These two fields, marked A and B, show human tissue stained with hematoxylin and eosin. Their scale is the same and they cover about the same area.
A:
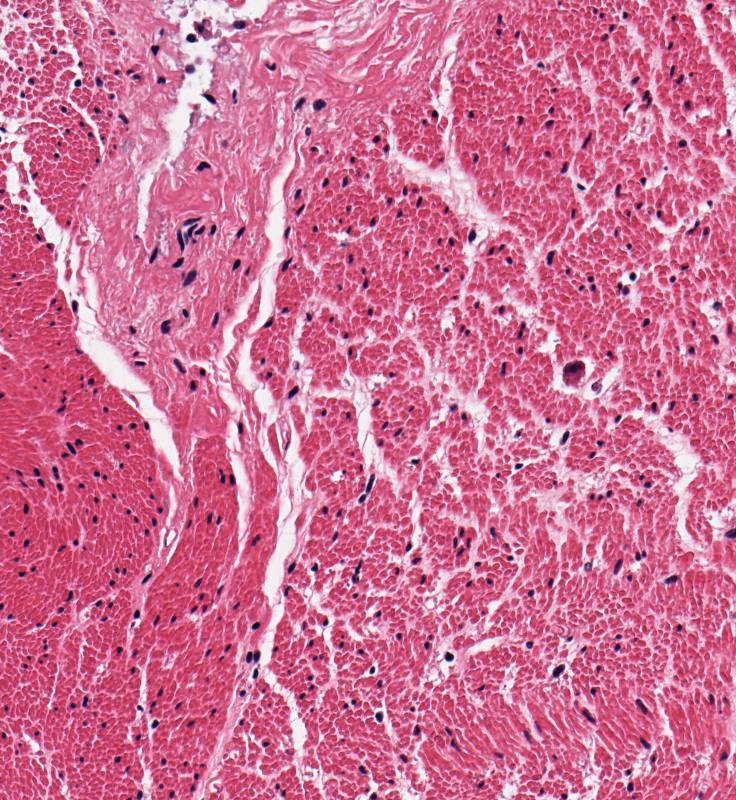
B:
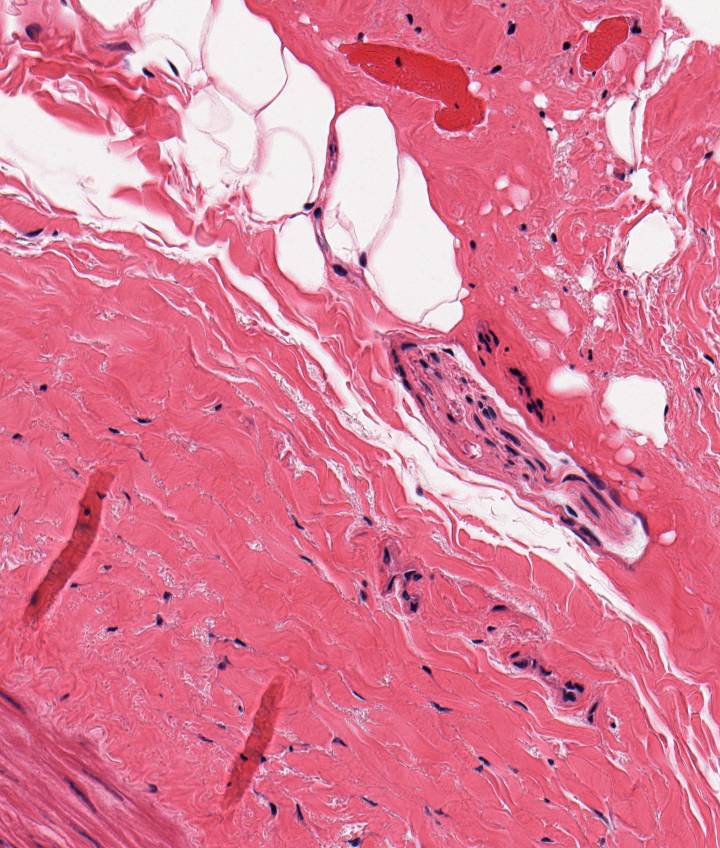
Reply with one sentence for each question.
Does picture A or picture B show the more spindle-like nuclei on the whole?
Longer, more slender nuclei lie in picture B.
